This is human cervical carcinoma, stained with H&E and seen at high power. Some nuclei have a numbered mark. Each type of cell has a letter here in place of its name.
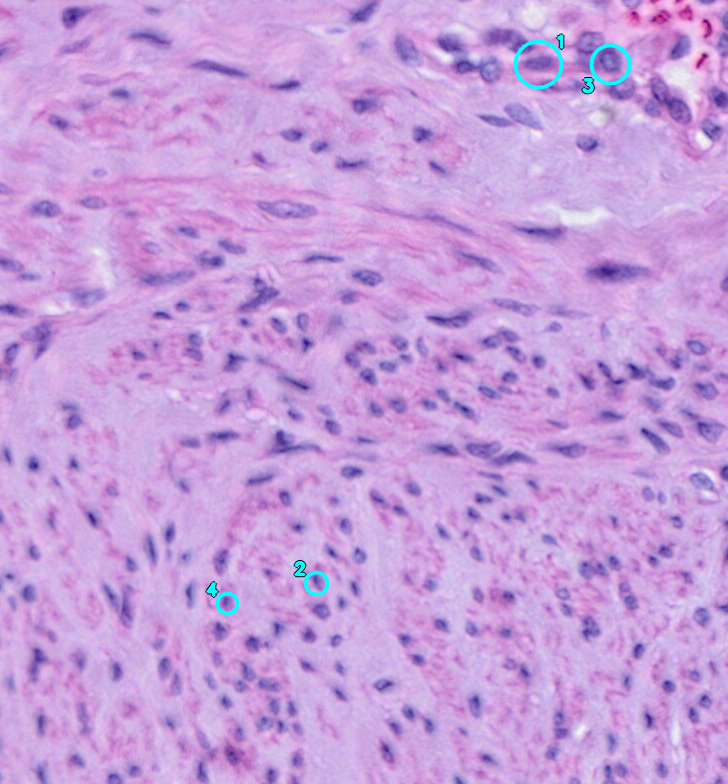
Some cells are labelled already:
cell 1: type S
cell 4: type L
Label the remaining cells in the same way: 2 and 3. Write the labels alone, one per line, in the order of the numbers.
type L
type S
